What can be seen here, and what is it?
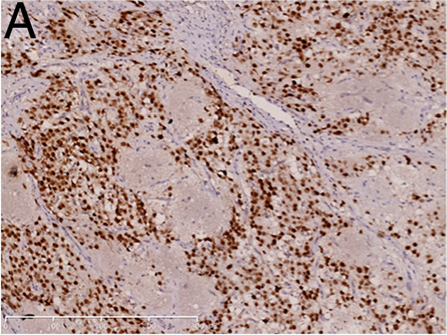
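Tumor tissue with densely packed small round cells whose nuclei are stained brown. The cells form sheets and cords that wind around pale, rounded, nearly cell-free fibrillary islands. Few brown nuclei lie inside these islands, which appear as pale pink-grey matrix. Thin bands of bluish fibrous stroma with vessels separate groups of cells at the top. The cytoplasm of the tumor cells is scant and unstained.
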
